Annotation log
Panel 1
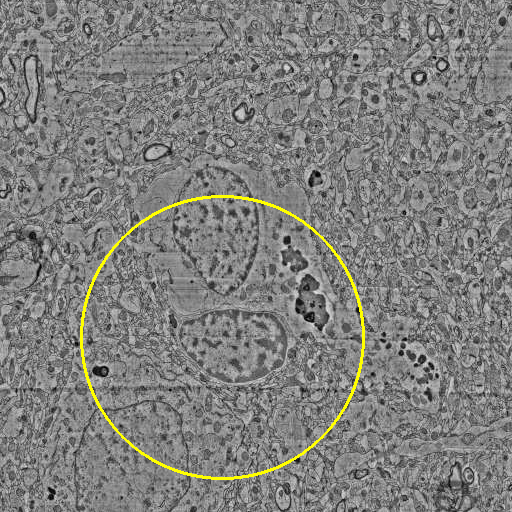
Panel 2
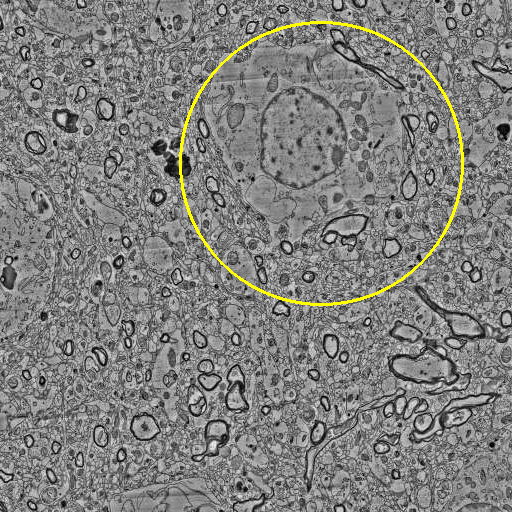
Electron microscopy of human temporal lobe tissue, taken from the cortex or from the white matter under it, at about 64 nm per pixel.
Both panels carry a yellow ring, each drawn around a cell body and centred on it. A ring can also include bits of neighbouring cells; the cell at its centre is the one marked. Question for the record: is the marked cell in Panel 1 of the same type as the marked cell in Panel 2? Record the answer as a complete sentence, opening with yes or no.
No, the marked cells in Panel 1 and Panel 2 are of two types.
